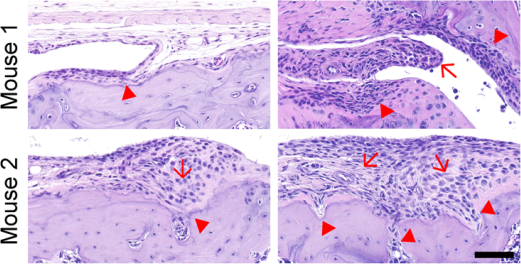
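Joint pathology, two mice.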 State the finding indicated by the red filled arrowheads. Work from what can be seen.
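The arrowheads point to places where the edge of the pale pink bone is notched or pitted. Cellular tissue reaches into these notches at the bone surface. So: bony erosion and invasion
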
